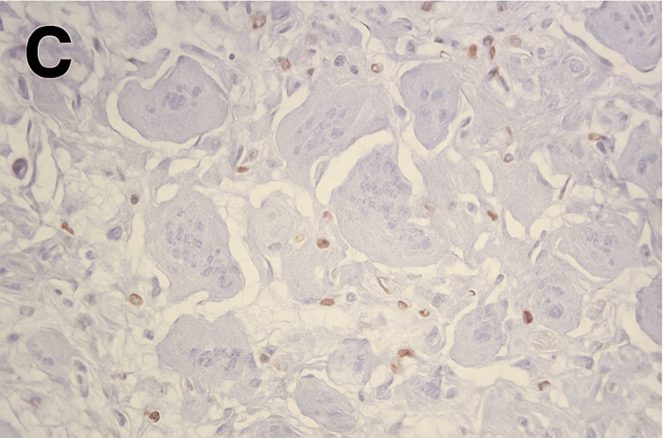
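Here large pale multinucleated giant cells lie separated by clefts, with small stromal cells scattered between them. Only some of the small stromal cell nuclei are stained brown; the many nuclei inside the giant cells remain blue-grey.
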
